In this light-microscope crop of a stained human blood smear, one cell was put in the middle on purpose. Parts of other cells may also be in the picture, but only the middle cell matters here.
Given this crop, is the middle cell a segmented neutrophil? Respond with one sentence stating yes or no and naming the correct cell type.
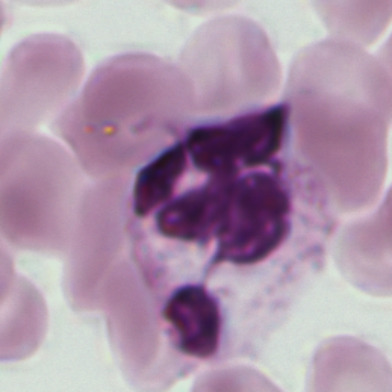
Yes, the cell in the central position is a segmented neutrophil.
